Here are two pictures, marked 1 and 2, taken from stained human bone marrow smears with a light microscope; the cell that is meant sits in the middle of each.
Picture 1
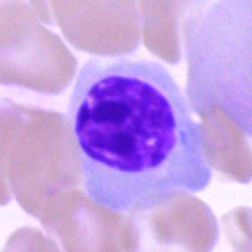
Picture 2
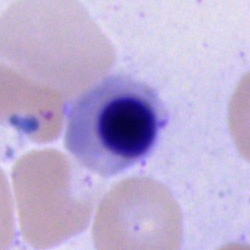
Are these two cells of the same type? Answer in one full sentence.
Yes, both cells are erythroblasts.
